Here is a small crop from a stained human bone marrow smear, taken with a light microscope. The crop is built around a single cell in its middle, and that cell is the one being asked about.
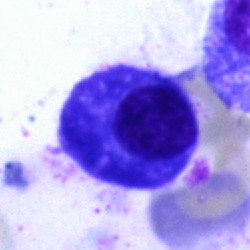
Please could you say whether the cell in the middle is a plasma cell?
yes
